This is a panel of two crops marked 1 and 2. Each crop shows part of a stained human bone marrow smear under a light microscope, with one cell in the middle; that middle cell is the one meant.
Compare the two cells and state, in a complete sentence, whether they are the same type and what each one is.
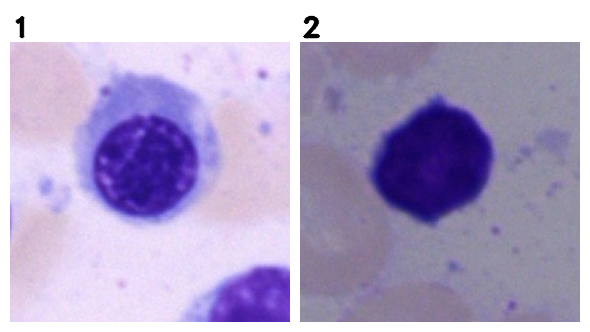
No, the cell shown in crop 1 is a normoblast, and the cell shown in crop 2 is a lymphocyte.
